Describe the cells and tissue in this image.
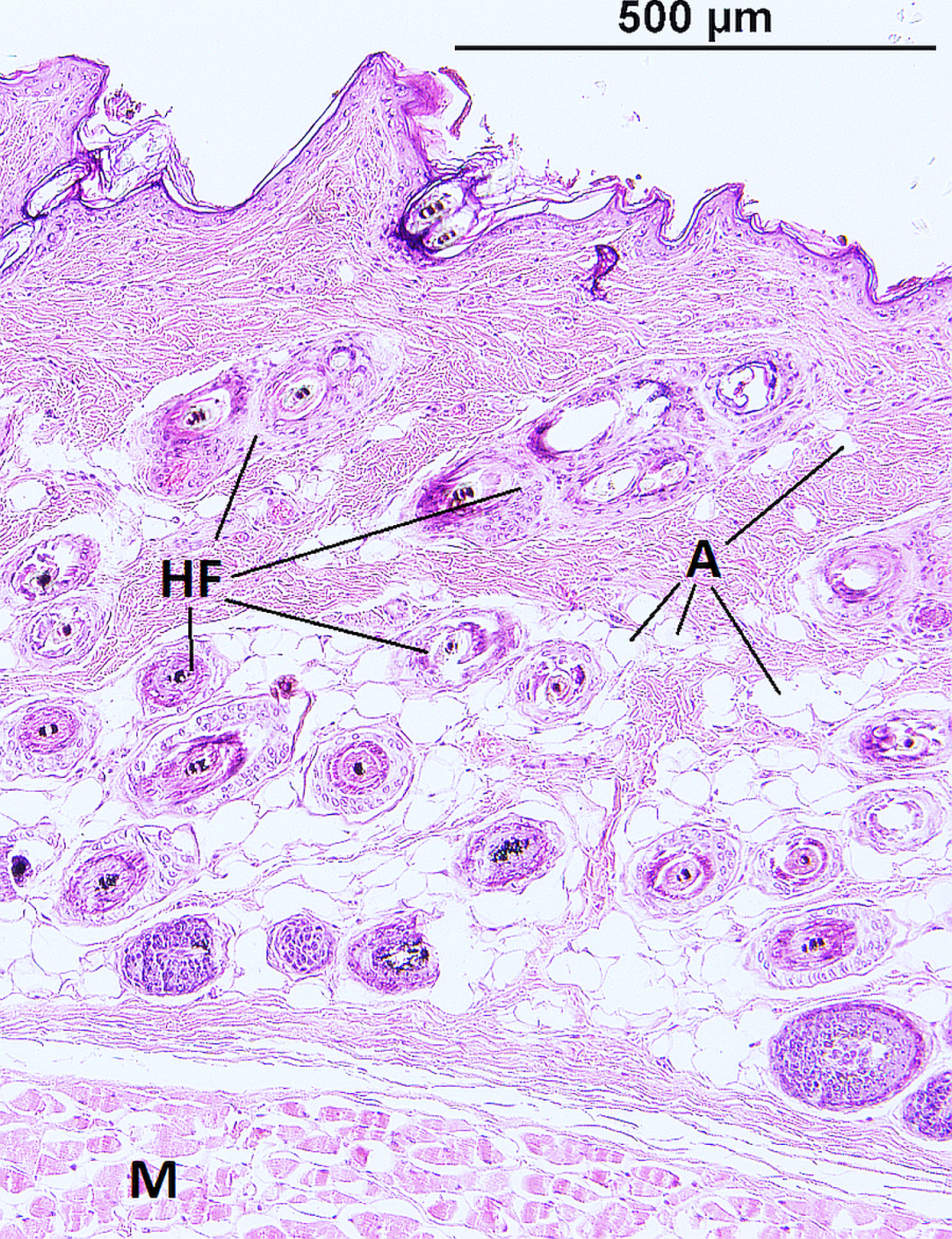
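This is a section through skin, running from a thin, folded surface epithelium at the top down to skeletal muscle at the bottom. Under the epithelium lies a band of dense, pink, wavy collagen fibres. Deeper down, many hair follicles are cut across or obliquely. The follicles sit among large numbers of adipocytes, which look like empty, rounded or polygonal clear spaces with thin pink rims. The fat cells are packed most densely in the lower layer around the deeper follicles. Beneath a thin fibrous sheet, pale pink muscle fibres are cut in cross section.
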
